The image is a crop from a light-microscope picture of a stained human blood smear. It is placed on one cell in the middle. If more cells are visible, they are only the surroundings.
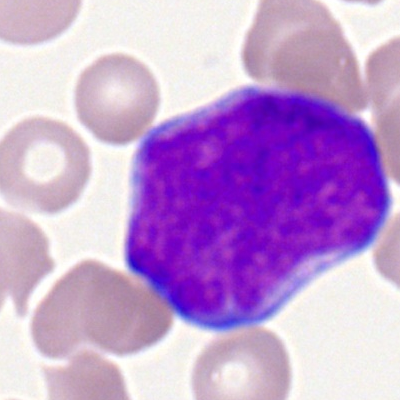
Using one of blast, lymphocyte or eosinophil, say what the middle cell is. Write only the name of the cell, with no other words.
blast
